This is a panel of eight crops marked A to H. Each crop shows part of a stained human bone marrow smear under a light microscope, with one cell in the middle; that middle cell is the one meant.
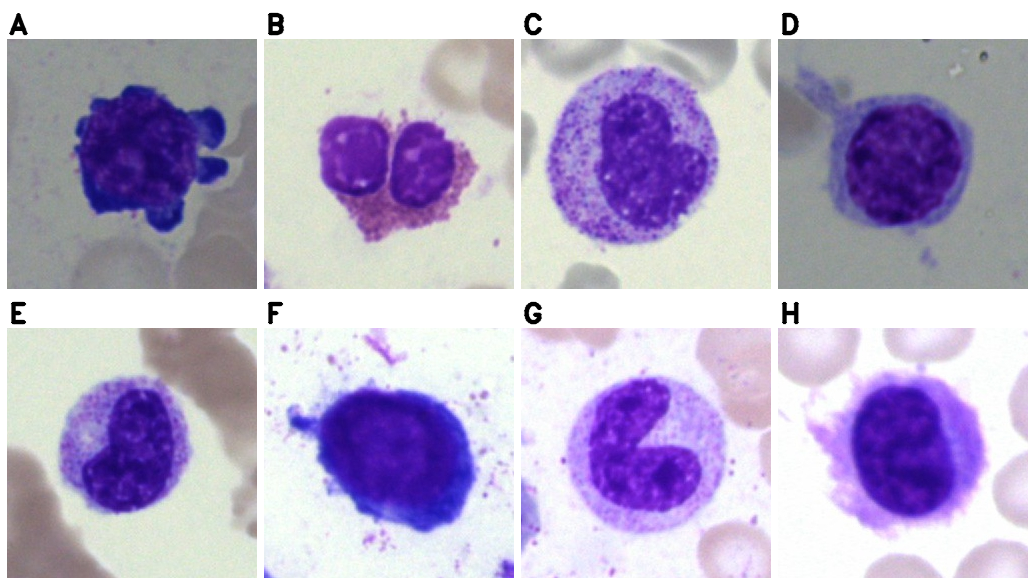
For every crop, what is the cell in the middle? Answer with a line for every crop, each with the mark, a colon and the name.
A: proerythroblast
B: eosinophil
C: band neutrophil
D: hairy cell
E: metamyelocyte
F: proerythroblast
G: band neutrophil
H: hairy cell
